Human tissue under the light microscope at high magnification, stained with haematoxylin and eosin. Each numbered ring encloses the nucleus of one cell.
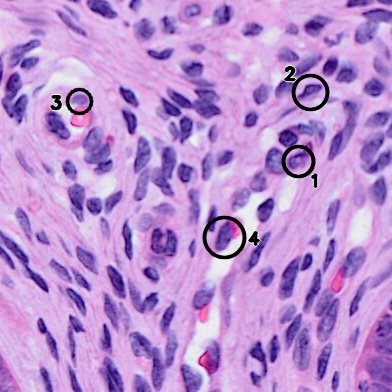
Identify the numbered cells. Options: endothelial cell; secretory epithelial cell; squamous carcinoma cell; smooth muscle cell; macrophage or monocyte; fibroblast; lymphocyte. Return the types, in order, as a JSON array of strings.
["endothelial cell", "fibroblast", "endothelial cell", "endothelial cell"]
